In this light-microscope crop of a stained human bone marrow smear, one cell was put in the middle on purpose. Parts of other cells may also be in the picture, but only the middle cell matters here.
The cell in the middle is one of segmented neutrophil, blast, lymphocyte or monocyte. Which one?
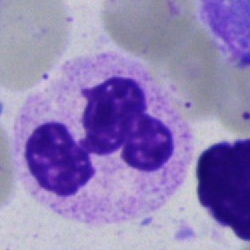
segmented neutrophil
